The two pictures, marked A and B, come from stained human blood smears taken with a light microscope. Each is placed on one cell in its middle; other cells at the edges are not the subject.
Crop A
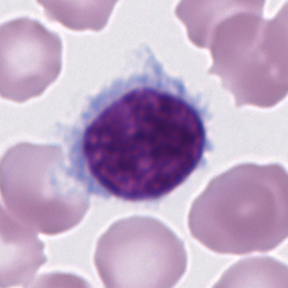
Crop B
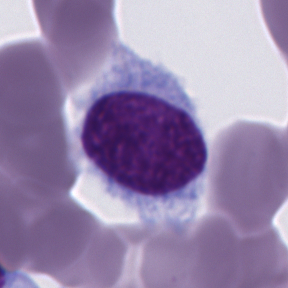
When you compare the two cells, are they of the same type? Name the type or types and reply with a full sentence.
Yes, both crops in this set show hairy cells.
